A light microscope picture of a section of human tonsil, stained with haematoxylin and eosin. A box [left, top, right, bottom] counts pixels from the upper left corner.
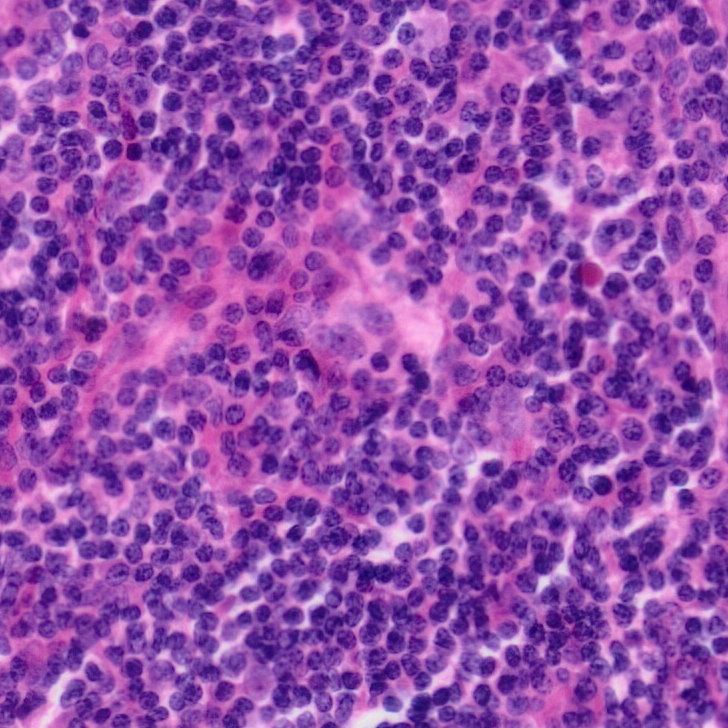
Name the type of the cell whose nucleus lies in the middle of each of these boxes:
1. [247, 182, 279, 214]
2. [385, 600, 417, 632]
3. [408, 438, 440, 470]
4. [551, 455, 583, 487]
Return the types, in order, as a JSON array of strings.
["small lymphocyte", "small lymphocyte", "small lymphocyte", "plasma cell"]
